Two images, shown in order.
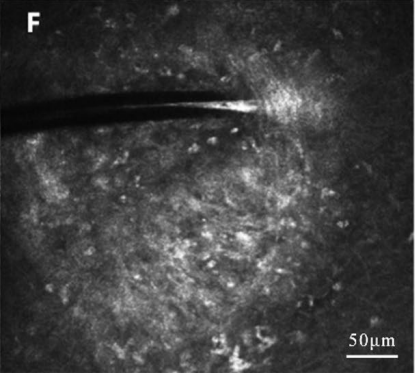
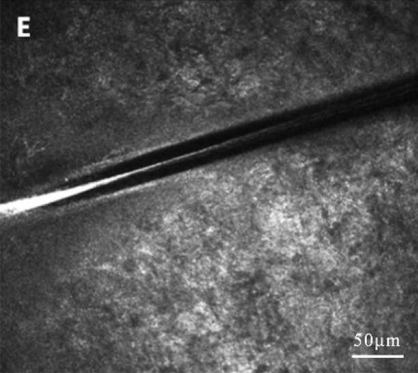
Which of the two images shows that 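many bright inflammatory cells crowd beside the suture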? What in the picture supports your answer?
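Second image: the tissue beside the dark suture shows a fine grey texture without a crowd of distinct bright bodies. So: the first image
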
